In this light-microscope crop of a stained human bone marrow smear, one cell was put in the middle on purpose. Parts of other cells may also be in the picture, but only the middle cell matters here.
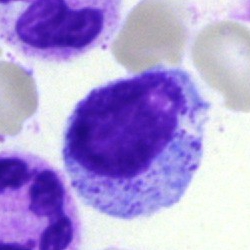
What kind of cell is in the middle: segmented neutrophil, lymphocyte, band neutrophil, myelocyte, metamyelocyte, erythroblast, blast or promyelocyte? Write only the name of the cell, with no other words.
myelocyte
